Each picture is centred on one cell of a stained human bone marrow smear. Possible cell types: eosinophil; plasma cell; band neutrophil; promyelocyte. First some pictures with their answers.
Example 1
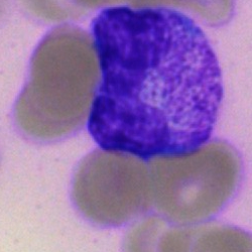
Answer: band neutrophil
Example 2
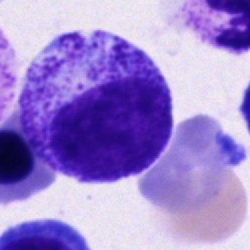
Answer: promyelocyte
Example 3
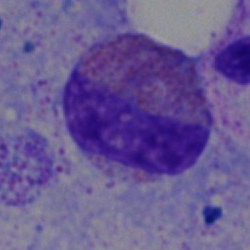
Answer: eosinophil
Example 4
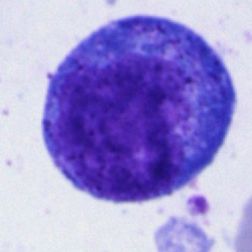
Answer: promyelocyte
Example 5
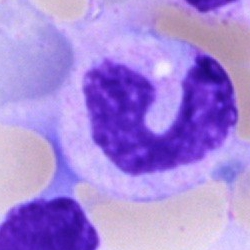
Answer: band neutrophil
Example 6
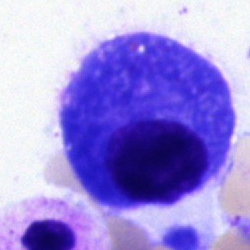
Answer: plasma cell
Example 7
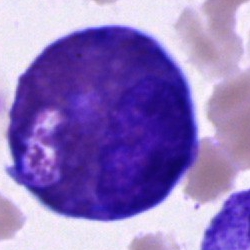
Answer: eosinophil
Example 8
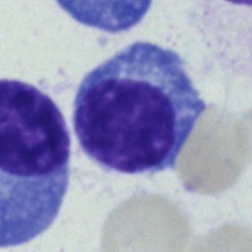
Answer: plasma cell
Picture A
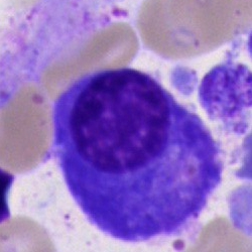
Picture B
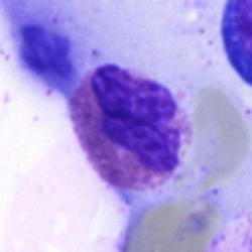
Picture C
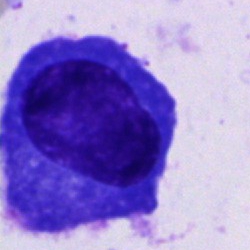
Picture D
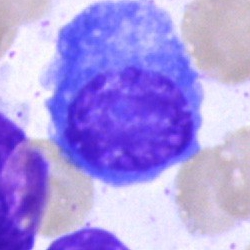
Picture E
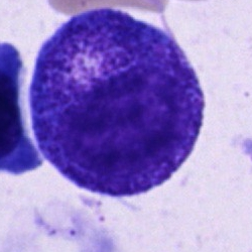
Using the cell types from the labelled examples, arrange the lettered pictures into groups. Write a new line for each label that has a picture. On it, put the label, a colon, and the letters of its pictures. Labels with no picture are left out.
eosinophil: B
plasma cell: A, C, D
promyelocyte: E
